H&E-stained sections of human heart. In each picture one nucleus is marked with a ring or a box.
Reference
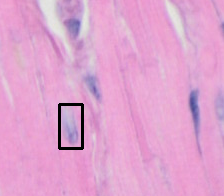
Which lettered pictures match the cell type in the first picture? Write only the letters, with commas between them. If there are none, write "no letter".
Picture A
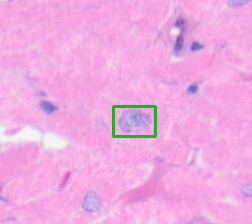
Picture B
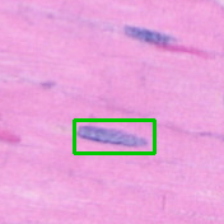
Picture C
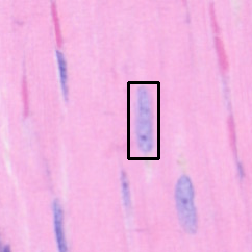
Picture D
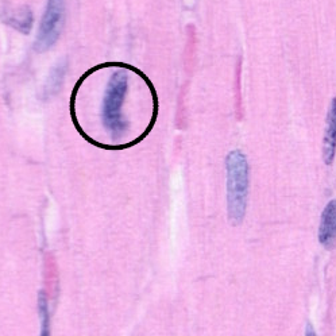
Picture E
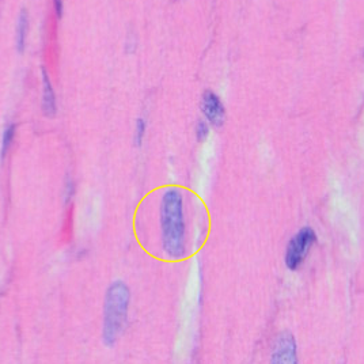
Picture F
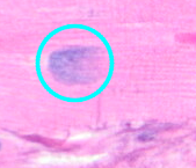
A, B, C, E, F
